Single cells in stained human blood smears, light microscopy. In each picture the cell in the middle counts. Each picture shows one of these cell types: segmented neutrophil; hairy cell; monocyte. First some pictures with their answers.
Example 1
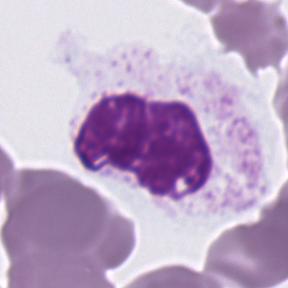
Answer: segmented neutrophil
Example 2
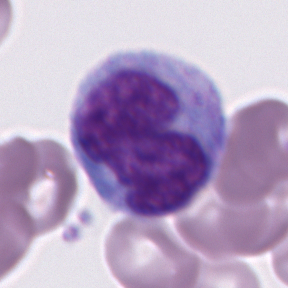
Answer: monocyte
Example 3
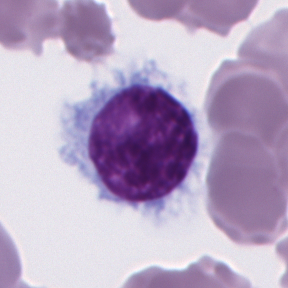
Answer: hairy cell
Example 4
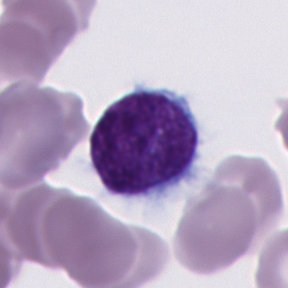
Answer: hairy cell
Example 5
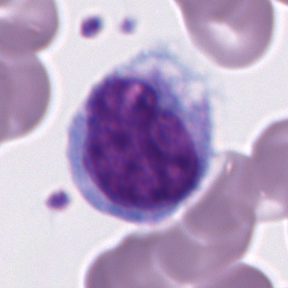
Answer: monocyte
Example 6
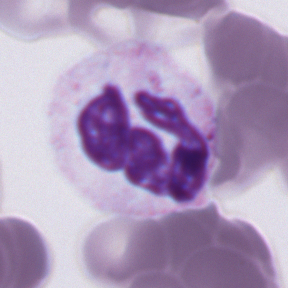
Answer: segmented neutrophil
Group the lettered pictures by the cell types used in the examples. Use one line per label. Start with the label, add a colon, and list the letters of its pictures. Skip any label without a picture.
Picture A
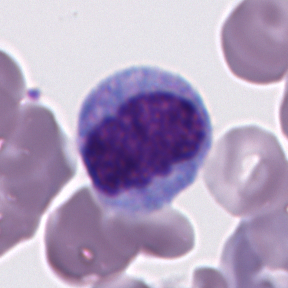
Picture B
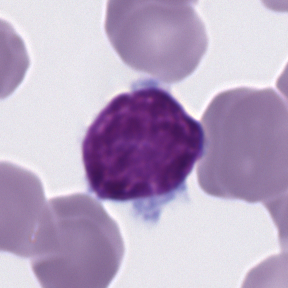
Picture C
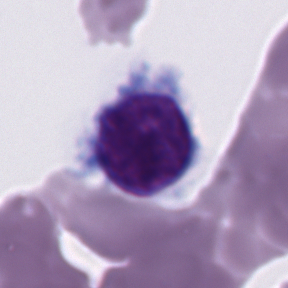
hairy cell: B, C
monocyte: A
